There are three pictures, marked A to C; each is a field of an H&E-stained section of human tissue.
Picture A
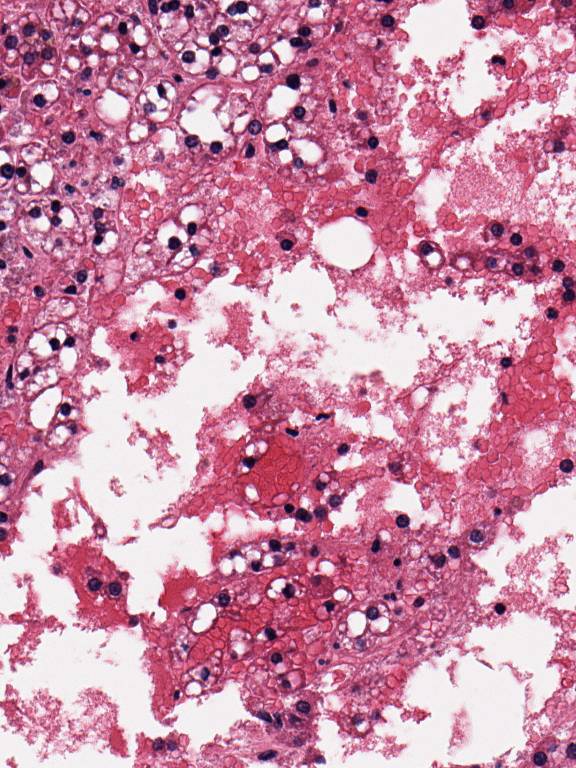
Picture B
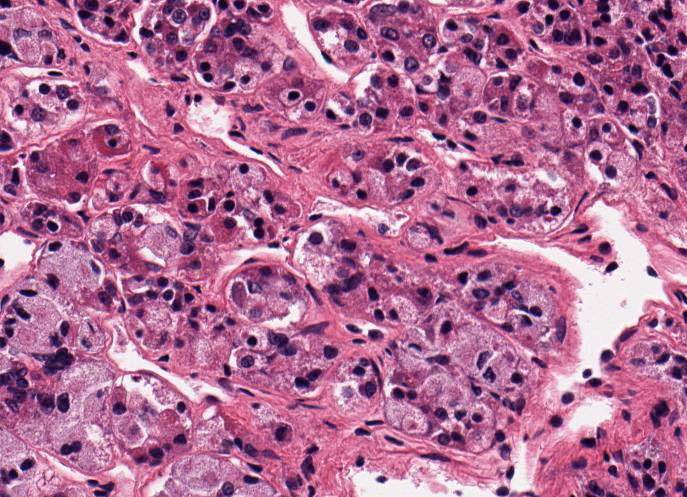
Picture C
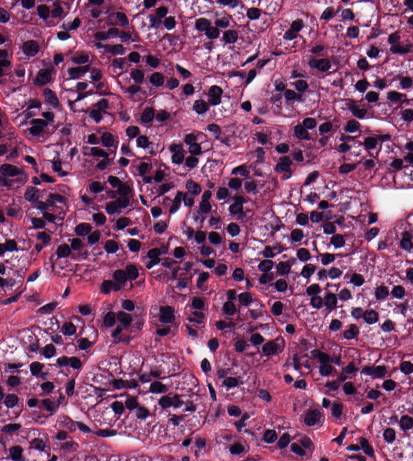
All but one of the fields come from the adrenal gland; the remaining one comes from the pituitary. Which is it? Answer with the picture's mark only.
B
